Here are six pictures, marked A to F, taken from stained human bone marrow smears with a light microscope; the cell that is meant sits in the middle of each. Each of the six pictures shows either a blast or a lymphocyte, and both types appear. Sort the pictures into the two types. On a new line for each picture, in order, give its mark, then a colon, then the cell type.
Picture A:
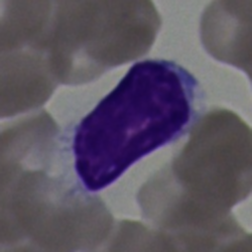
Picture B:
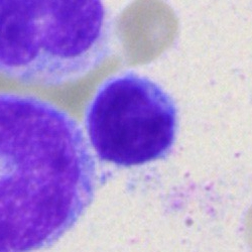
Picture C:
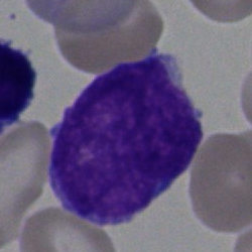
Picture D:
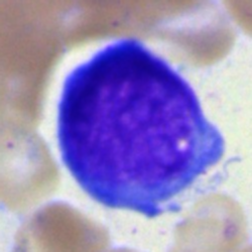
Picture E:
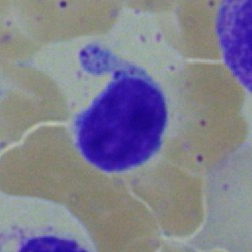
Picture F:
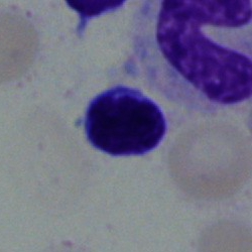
A: lymphocyte
B: lymphocyte
C: blast
D: blast
E: lymphocyte
F: lymphocyte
